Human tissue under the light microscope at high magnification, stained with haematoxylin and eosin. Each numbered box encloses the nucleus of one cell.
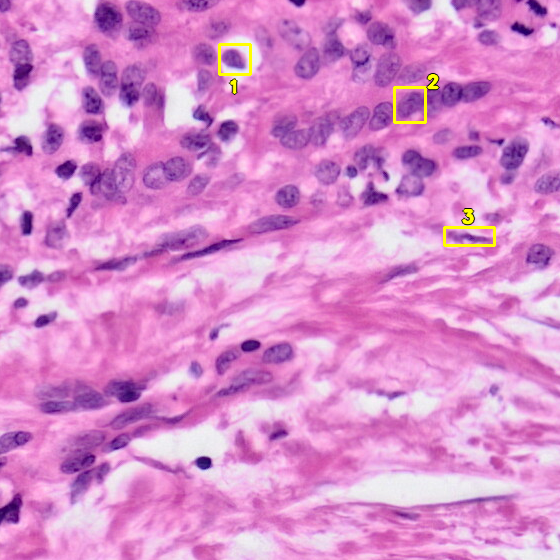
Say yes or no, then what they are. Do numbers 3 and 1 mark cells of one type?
No, cell 1 is a carcinoma cell, and cell 3 is a fibroblast.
